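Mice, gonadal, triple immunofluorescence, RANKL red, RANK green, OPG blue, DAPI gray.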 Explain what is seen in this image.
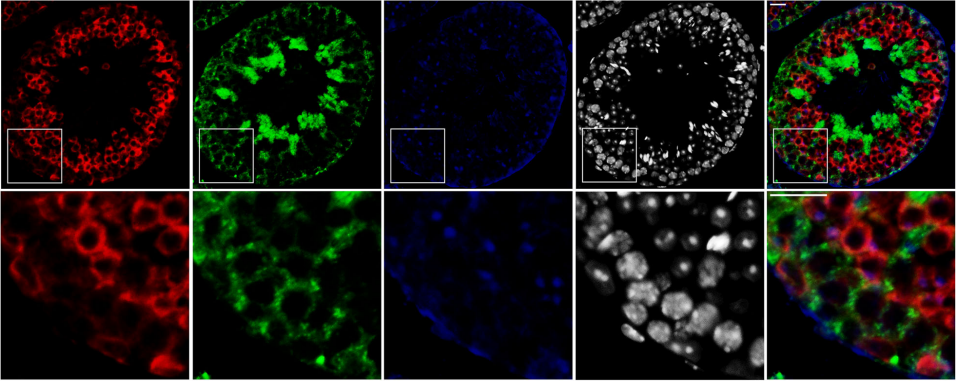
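A round tubule is seen in cross-section under four colours, with enlarged views of its outer part beneath. Gray nuclei fill the wall in several layers, many of them round and large, others smaller and denser. Red outlines the cytoplasm of the large round cells as rings around their nuclei. Green lies in a meshwork between the cells and in bright irregular clumps toward the central lumen. Blue is faint and spread thinly, brightest as a thin rim along the tubule's outer edge.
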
